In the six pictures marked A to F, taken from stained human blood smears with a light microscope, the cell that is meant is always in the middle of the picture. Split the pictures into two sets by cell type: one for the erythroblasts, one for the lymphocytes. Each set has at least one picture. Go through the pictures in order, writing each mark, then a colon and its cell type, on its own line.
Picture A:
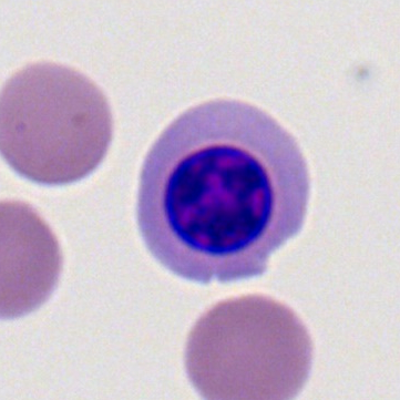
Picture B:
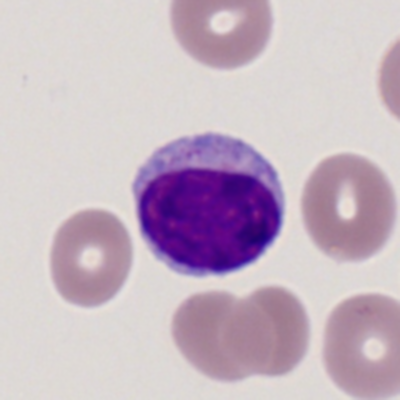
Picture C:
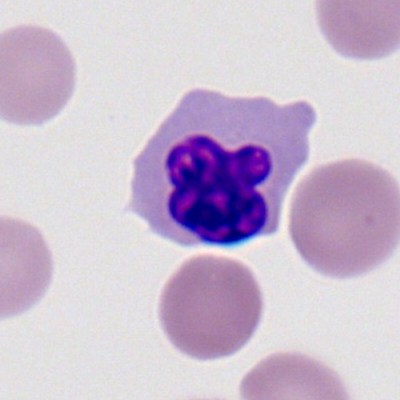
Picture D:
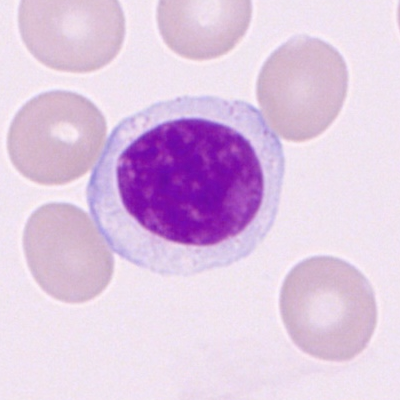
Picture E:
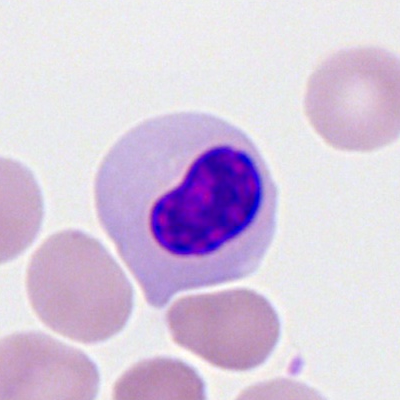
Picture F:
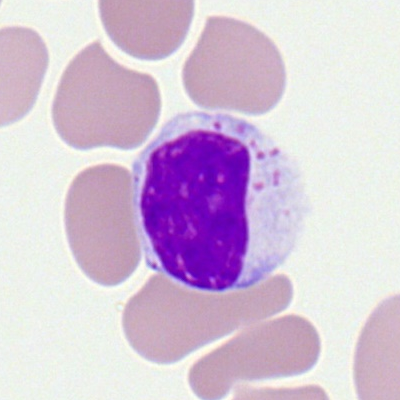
A: erythroblast
B: lymphocyte
C: erythroblast
D: lymphocyte
E: erythroblast
F: lymphocyte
